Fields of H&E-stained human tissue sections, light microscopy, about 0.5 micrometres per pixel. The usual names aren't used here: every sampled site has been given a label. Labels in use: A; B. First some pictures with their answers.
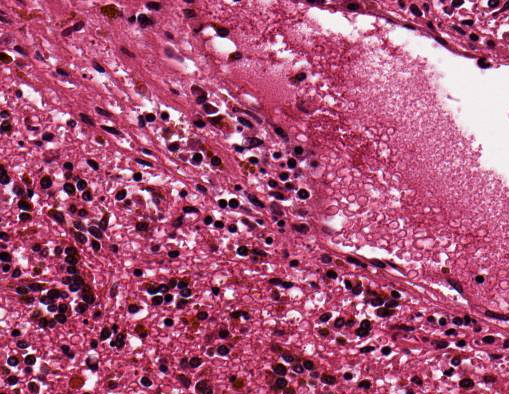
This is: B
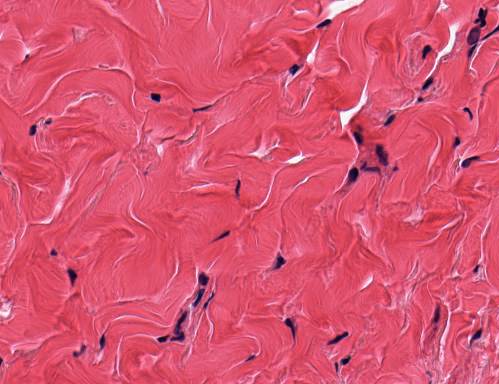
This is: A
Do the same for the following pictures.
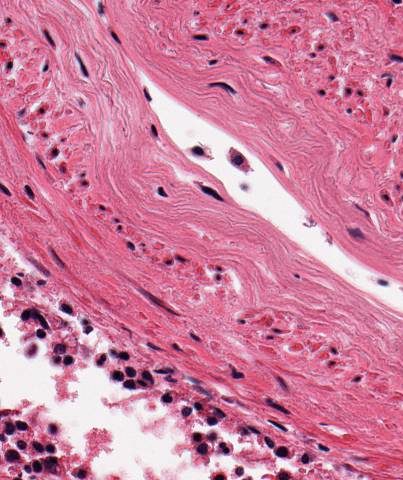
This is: B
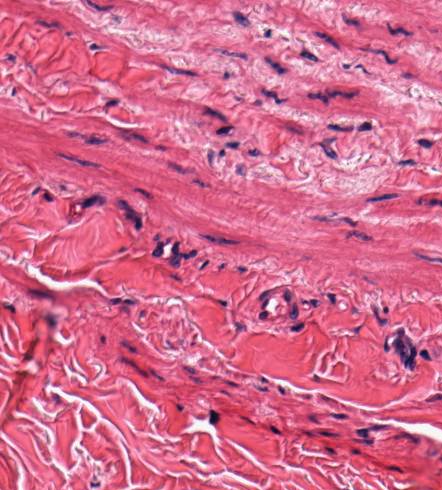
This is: A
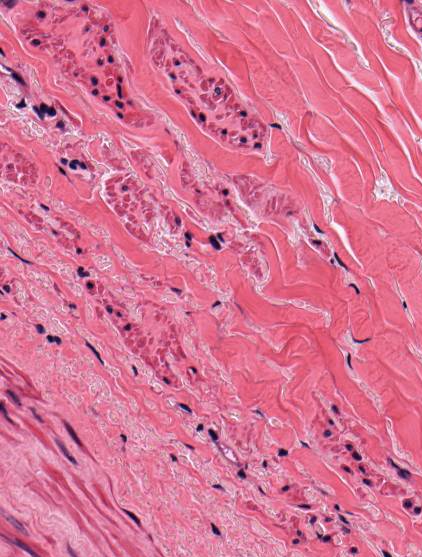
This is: A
